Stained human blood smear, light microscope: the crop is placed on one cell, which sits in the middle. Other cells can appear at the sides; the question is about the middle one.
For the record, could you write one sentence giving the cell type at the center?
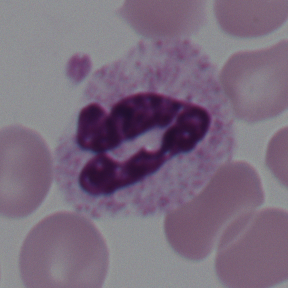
The centrally located cell in the crop is a segmented neutrophil.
